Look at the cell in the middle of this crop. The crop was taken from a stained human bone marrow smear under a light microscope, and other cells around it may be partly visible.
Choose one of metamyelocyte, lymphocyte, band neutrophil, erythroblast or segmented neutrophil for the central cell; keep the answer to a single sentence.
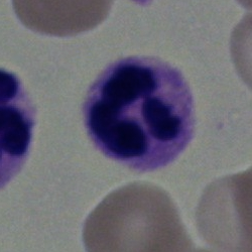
The central cell, amid any neighbouring cells, is a segmented neutrophil.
